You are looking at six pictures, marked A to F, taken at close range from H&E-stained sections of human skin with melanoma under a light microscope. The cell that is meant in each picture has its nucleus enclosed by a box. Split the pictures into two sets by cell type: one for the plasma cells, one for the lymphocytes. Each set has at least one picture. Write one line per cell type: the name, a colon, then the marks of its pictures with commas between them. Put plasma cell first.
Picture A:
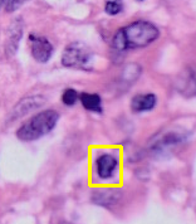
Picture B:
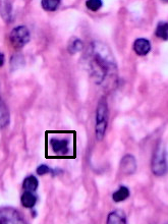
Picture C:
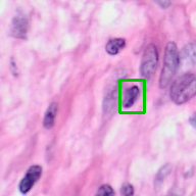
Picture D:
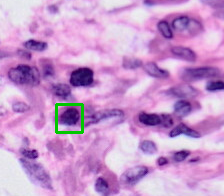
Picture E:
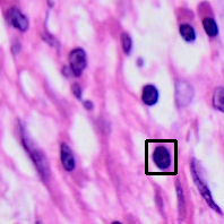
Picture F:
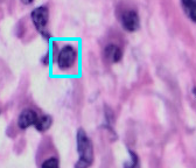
plasma cell: D, E
lymphocyte: A, B, C, F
